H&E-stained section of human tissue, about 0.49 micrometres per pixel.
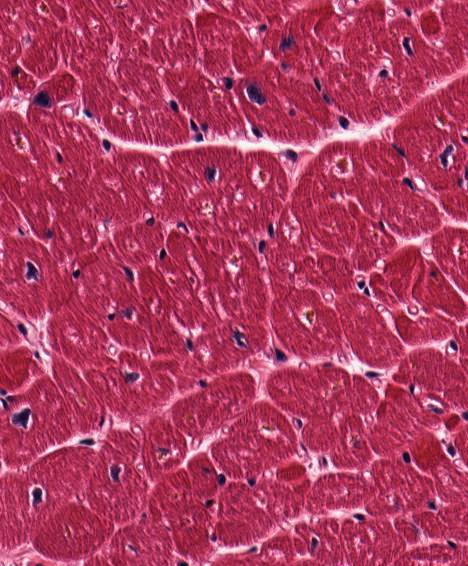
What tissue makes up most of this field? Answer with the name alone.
myocardium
